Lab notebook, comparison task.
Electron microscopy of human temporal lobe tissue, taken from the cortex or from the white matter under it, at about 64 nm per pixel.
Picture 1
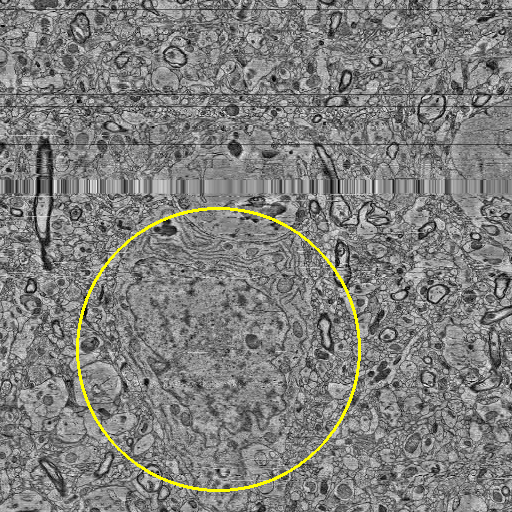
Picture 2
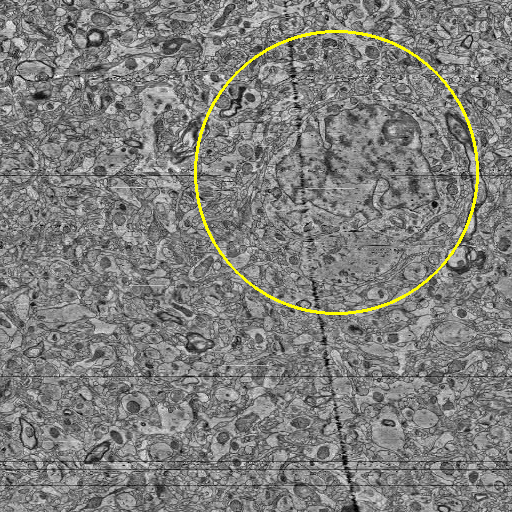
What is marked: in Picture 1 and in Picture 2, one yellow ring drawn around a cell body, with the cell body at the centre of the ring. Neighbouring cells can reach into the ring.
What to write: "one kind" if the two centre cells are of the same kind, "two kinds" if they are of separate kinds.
one kind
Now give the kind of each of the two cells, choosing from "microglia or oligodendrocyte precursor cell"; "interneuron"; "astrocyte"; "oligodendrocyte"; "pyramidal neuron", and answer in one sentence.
Each of the ringed cells, first and second, is an interneuron.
